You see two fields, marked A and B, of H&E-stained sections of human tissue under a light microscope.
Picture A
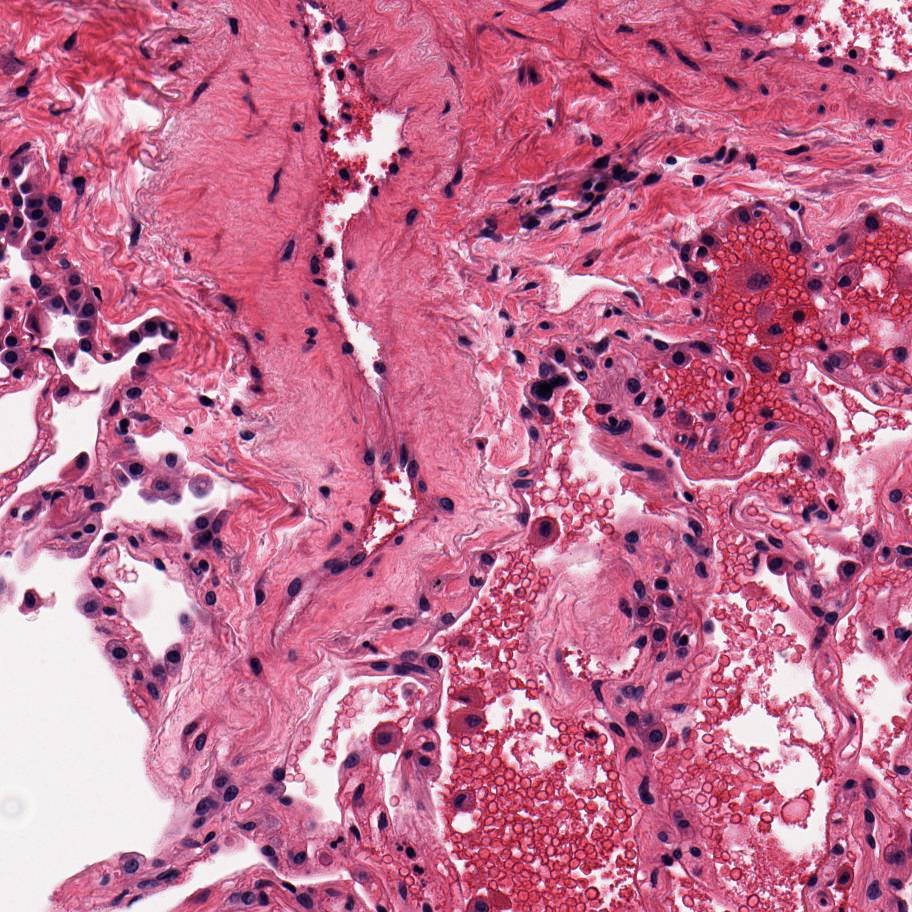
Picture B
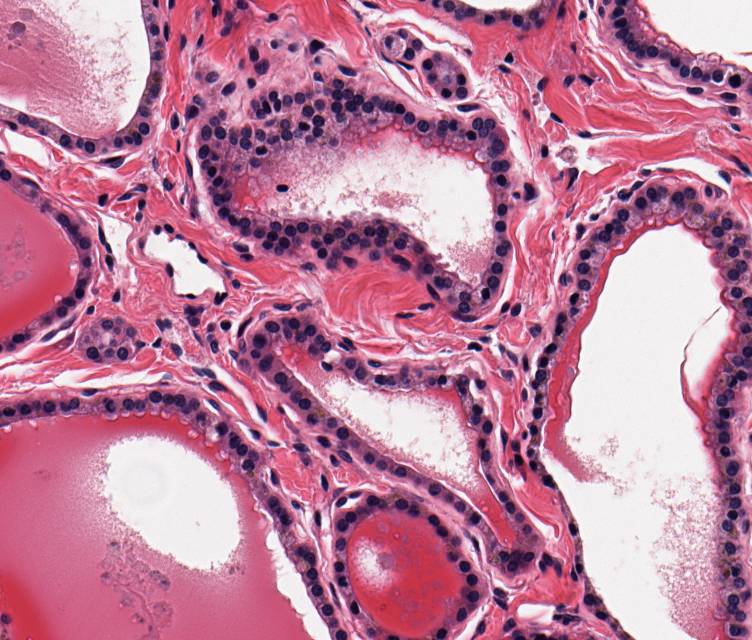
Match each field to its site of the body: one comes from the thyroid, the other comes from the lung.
A: lung
B: thyroid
